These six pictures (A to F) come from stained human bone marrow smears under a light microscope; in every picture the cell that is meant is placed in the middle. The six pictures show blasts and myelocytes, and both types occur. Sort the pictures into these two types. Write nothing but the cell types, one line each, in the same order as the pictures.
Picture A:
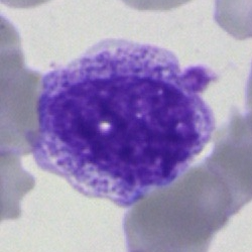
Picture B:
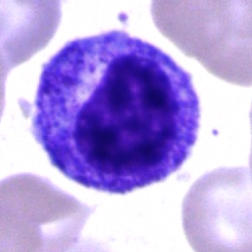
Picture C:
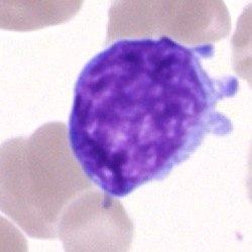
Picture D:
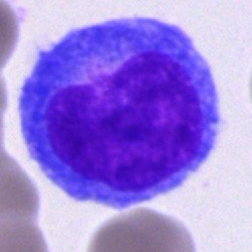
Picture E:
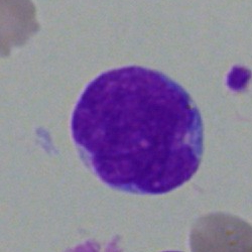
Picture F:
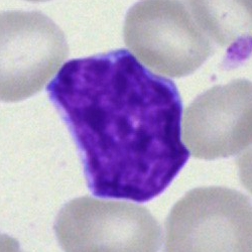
myelocyte
myelocyte
blast
blast
blast
blast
